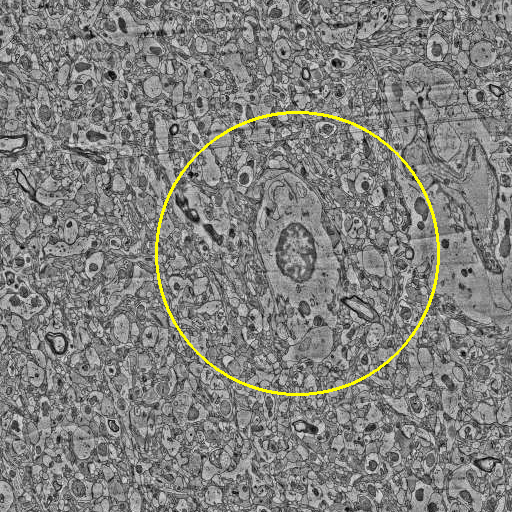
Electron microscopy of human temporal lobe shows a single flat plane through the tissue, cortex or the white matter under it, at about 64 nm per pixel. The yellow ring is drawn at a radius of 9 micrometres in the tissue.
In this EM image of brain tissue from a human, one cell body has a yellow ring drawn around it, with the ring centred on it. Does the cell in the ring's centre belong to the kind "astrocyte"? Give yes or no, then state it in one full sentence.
Yes, in the picture, the cell centred in the yellow ring belongs to that kind.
